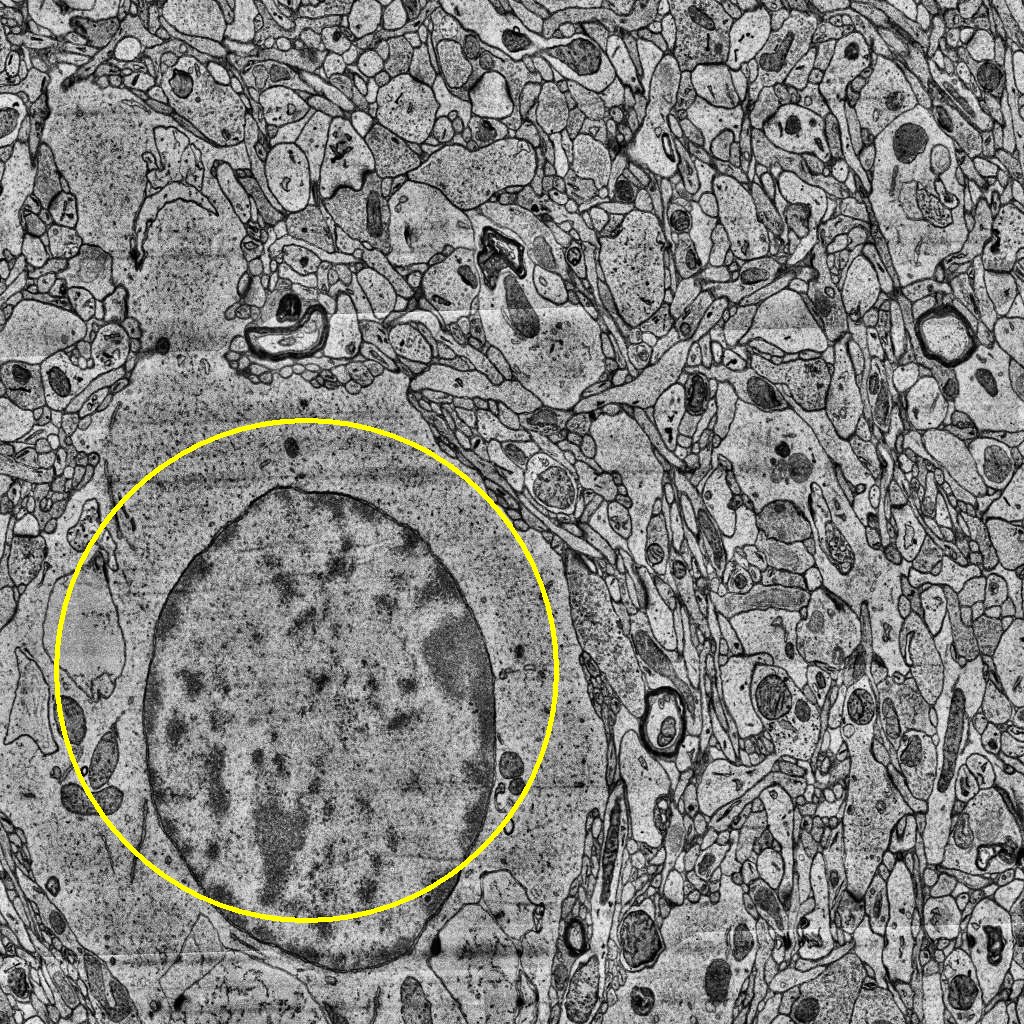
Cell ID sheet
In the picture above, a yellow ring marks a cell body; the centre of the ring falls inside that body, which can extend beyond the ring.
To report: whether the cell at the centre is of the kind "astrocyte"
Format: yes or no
yes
